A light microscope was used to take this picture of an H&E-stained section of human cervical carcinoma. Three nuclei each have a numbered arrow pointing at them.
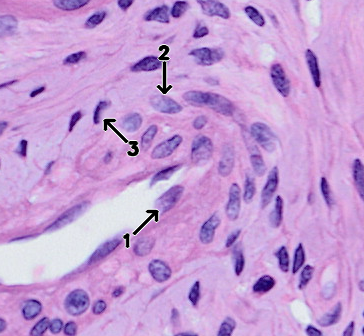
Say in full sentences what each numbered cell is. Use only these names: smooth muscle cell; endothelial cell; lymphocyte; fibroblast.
Cell 1 is an endothelial cell. Cell 2 is a smooth muscle cell. Cell 3 is a fibroblast.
